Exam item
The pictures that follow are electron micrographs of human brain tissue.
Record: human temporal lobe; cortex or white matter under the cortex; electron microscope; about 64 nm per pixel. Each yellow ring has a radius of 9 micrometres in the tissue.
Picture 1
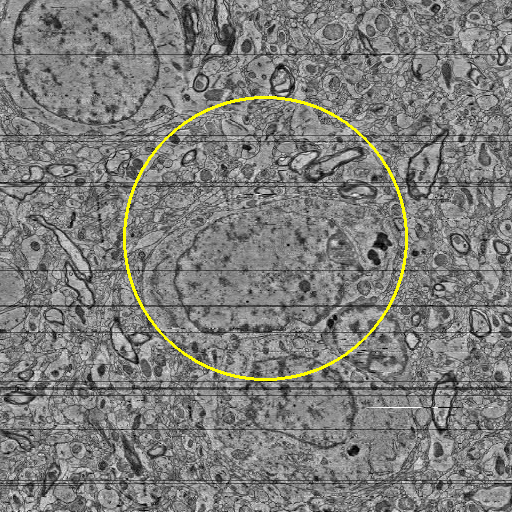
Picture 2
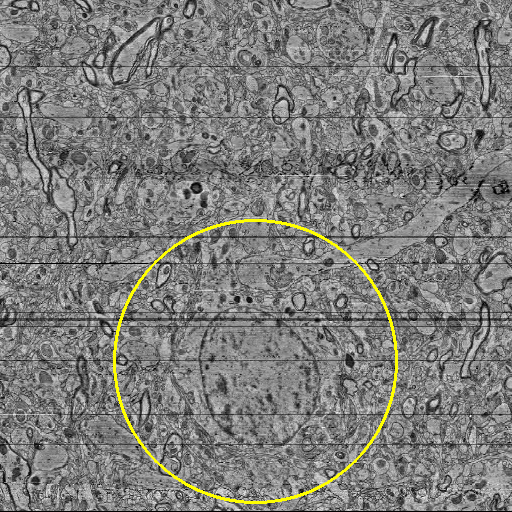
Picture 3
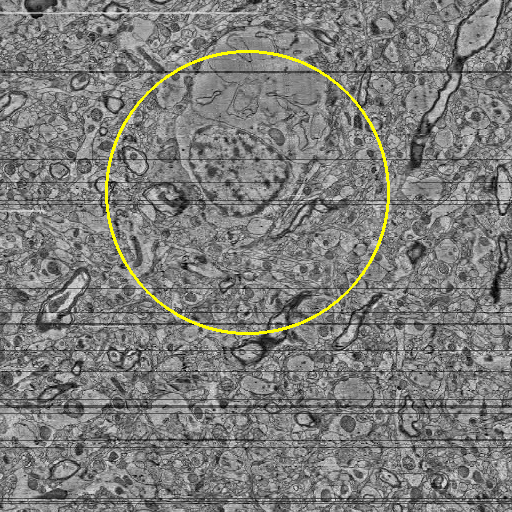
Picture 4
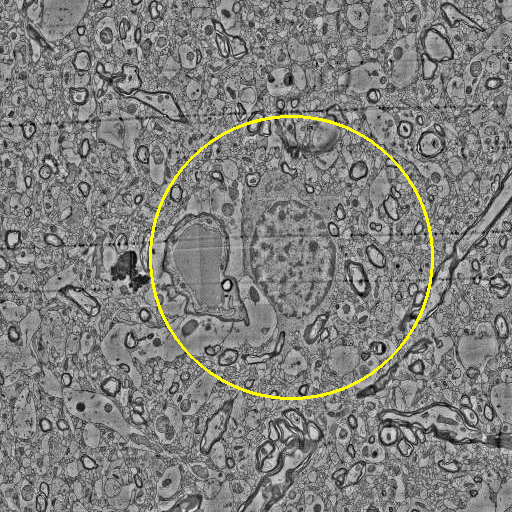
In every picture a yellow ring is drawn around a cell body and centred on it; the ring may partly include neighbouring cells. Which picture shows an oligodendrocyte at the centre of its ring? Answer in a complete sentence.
The cell at the centre of the ring in Picture 4 is the one asked for.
